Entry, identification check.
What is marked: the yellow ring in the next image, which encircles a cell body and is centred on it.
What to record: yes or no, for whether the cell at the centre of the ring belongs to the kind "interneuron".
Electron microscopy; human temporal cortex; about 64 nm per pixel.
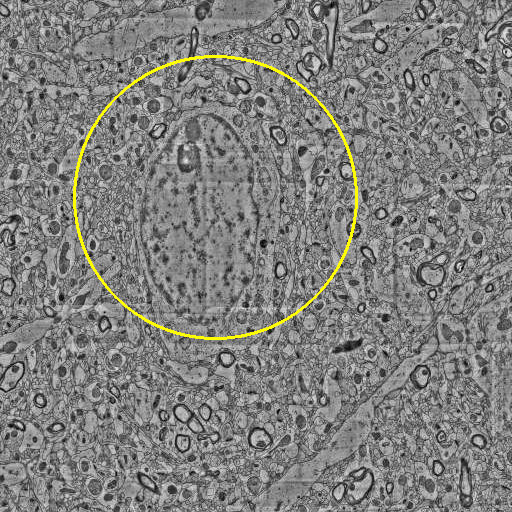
Yes, it belongs to that kind.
